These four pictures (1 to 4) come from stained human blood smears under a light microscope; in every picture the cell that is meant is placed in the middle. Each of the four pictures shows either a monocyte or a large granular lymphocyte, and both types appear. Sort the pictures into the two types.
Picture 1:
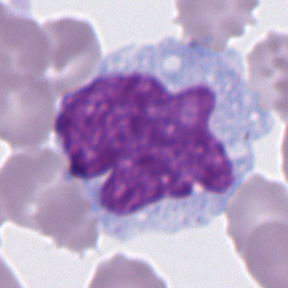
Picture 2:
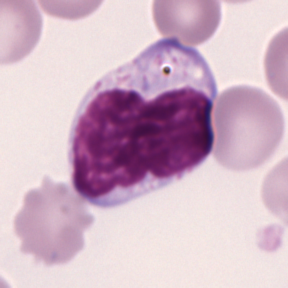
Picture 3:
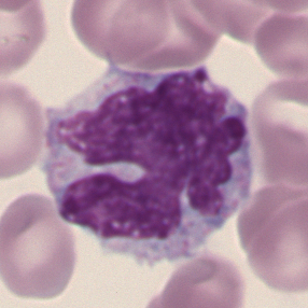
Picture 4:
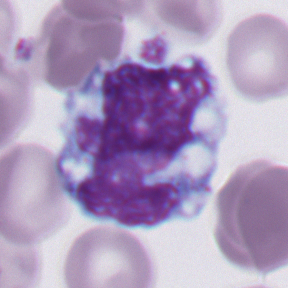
1: monocyte
2: large granular lymphocyte
3: monocyte
4: monocyte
